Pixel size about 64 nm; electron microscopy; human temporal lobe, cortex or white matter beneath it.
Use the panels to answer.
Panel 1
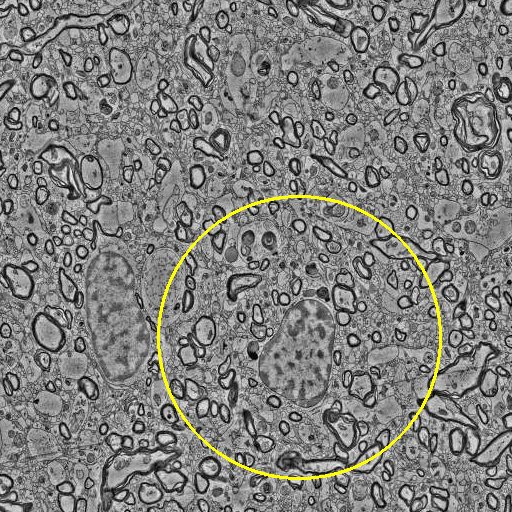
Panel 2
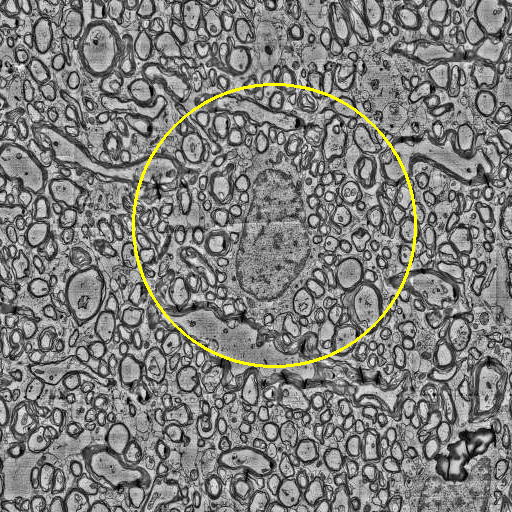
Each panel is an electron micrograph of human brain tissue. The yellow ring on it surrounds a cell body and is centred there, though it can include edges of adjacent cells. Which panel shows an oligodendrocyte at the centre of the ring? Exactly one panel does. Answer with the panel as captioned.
Panel 2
